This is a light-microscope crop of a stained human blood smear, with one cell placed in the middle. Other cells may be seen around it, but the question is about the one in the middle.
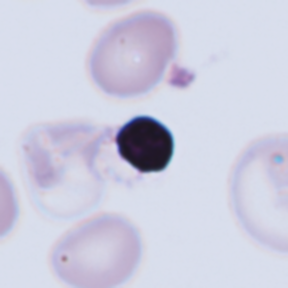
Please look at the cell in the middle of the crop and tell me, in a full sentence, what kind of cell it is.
The cell that lies at the centre of the crop is an erythroblast.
